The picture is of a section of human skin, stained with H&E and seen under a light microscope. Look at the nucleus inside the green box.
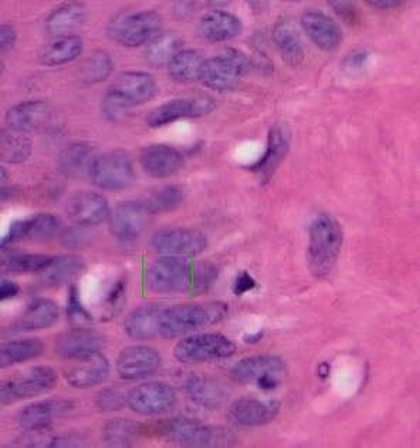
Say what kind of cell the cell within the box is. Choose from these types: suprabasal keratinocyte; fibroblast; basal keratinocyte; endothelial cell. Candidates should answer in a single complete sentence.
In this preparation, the cell within the box is a basal keratinocyte.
